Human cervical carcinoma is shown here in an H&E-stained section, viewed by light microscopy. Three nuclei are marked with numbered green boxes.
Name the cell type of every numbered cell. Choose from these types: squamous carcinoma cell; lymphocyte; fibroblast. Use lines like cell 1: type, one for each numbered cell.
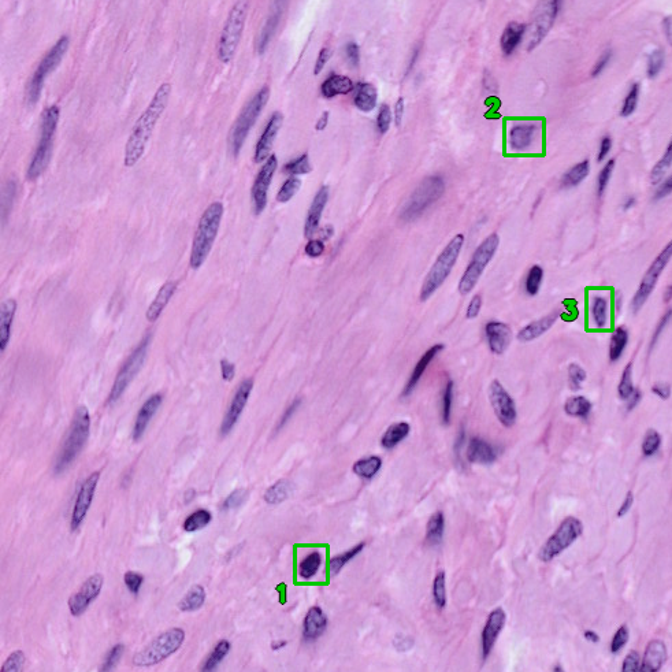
cell 1: lymphocyte
cell 2: fibroblast
cell 3: fibroblast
